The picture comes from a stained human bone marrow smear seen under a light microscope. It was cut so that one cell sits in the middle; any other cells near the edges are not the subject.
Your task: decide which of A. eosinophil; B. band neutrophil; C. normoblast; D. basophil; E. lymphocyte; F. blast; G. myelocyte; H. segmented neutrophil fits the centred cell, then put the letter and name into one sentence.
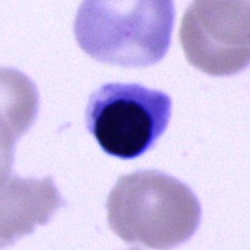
Option C is correct, naming the cell in the middle as a normoblast.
